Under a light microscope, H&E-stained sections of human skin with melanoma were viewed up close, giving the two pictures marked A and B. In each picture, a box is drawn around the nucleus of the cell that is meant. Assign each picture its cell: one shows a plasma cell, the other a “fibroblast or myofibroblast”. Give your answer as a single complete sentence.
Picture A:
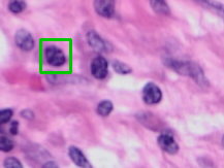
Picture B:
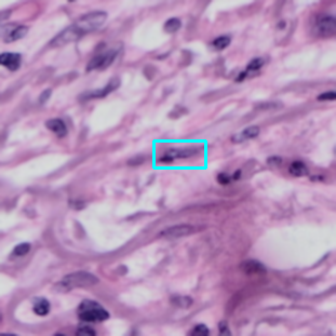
Picture A shows a plasma cell and picture B shows a “fibroblast or myofibroblast”.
